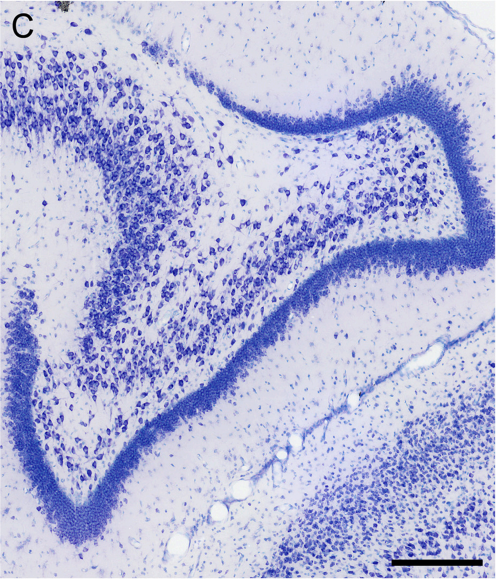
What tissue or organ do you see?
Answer: dentate gyrus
